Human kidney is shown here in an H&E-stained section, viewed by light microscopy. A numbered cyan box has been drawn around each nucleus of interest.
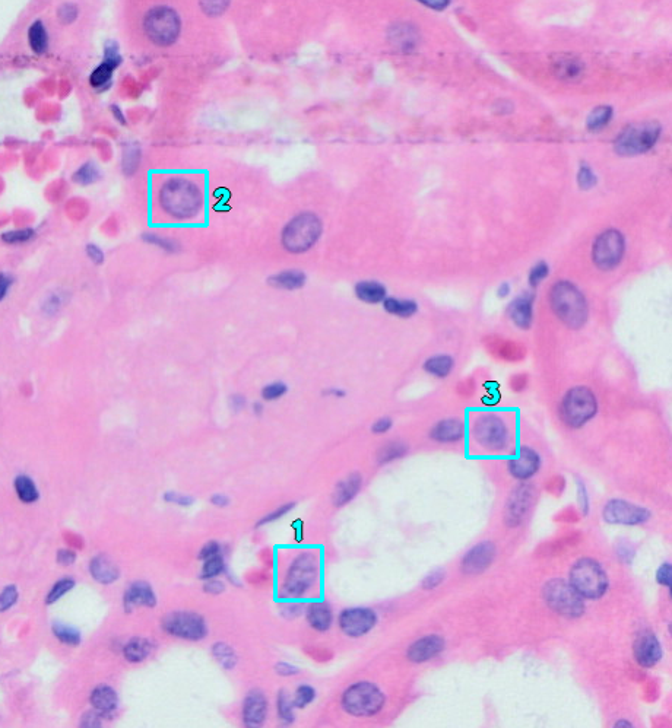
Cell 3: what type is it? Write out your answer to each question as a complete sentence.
What the number 3 marks in this field is a collecting duct cell.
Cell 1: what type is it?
The marked nucleus 1 is that of a collecting duct cell.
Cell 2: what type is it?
The marked cell bearing number 2 is a proximal tubule cell.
